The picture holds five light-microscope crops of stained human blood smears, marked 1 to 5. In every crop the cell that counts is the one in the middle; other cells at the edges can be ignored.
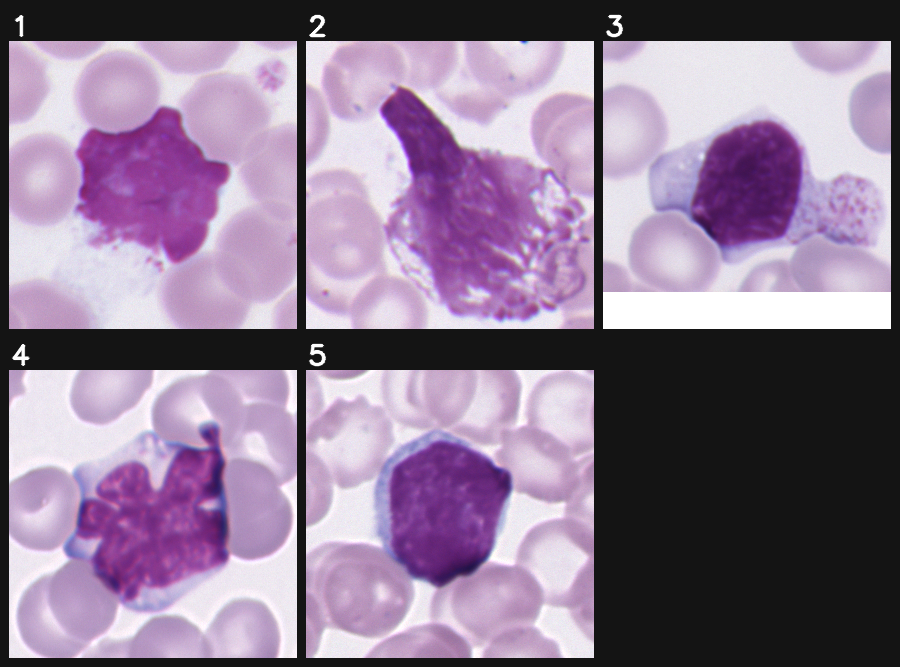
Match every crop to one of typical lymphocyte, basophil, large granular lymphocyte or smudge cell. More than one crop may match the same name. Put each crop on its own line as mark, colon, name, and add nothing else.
1: smudge cell
2: smudge cell
3: large granular lymphocyte
4: large granular lymphocyte
5: typical lymphocyte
